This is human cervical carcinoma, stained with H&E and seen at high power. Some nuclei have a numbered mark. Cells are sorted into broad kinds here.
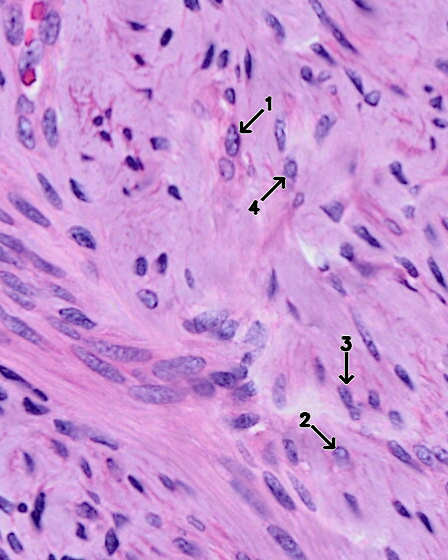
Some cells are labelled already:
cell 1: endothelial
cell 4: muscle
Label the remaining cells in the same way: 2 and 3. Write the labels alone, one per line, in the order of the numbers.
muscle
muscle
